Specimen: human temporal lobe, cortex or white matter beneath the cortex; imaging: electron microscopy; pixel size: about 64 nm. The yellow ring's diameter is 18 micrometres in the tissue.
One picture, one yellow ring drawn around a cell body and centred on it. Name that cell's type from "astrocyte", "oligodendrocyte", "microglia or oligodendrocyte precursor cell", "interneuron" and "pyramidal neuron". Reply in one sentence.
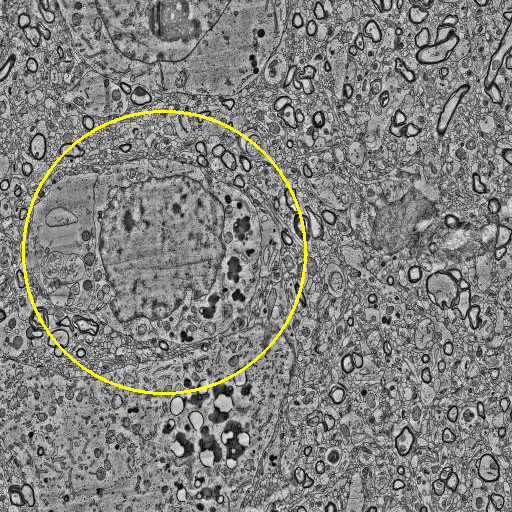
Centred in the ring is an interneuron.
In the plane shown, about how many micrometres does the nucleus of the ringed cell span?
Approximately 9 micrometres across in this plane.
